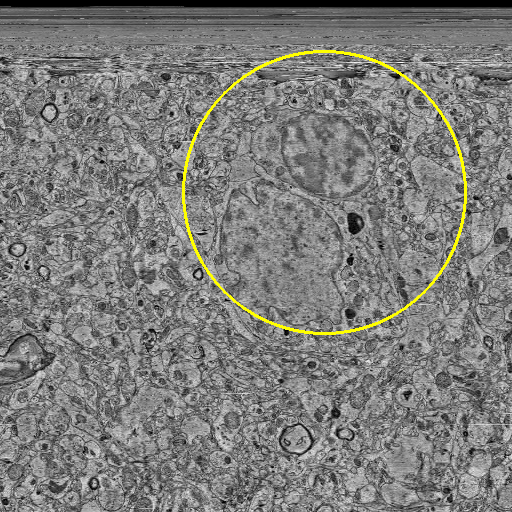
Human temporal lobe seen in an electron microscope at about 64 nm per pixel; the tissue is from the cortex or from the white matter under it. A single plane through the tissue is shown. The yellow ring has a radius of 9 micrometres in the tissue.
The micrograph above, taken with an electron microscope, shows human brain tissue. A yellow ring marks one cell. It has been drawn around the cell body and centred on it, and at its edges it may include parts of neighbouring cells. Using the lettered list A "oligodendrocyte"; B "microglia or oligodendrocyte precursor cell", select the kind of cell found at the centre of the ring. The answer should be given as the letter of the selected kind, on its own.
A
